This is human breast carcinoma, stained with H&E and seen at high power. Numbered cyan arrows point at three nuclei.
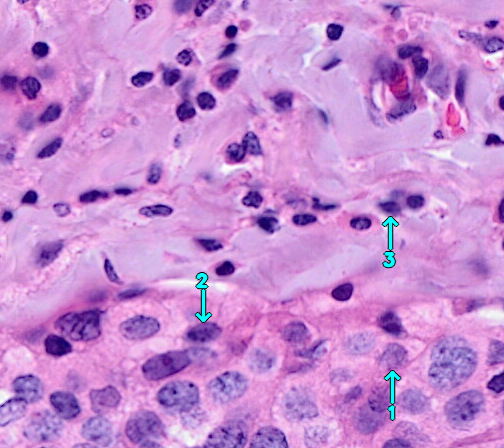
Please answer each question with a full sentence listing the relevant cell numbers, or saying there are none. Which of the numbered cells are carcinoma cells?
The numbers 1 and 2 in this section indicate carcinoma cells.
